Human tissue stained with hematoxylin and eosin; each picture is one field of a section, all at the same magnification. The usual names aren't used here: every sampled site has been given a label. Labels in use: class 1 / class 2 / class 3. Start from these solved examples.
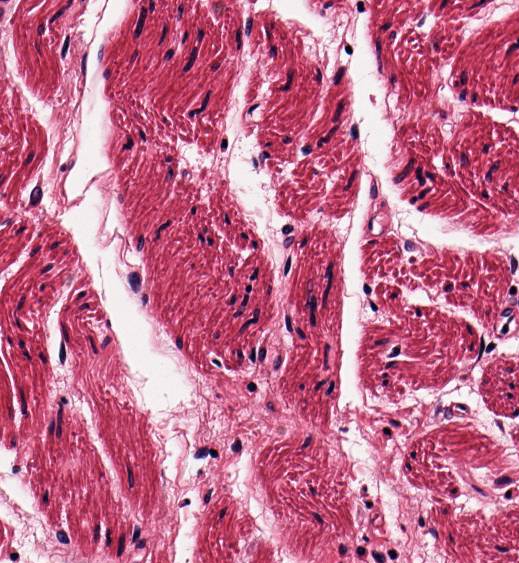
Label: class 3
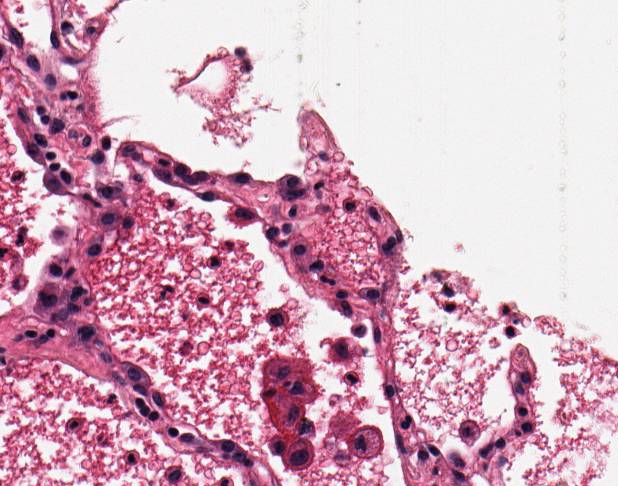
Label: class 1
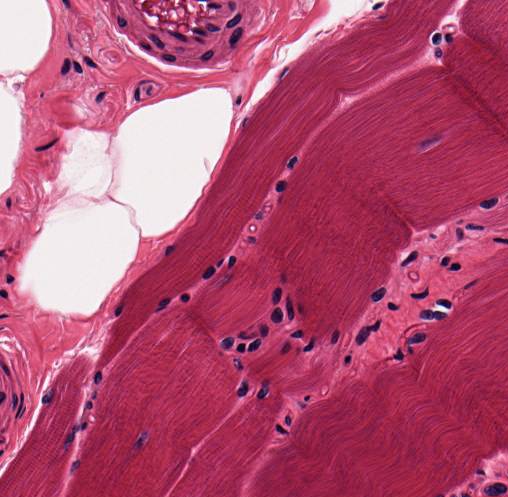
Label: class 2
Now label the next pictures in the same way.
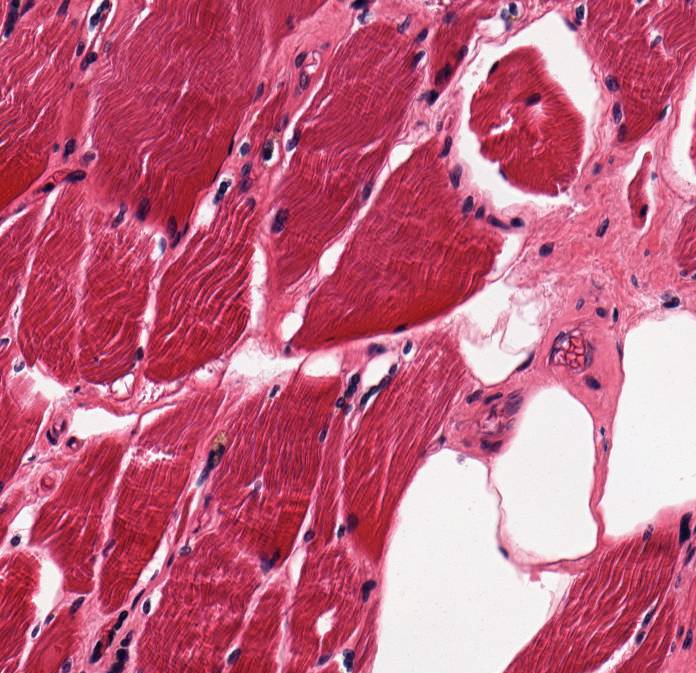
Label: class 2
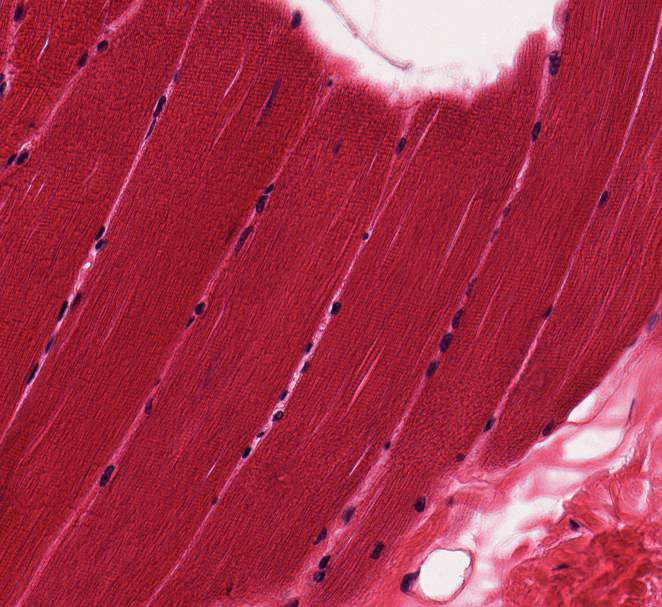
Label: class 2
